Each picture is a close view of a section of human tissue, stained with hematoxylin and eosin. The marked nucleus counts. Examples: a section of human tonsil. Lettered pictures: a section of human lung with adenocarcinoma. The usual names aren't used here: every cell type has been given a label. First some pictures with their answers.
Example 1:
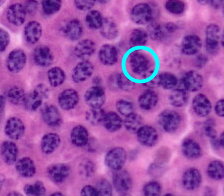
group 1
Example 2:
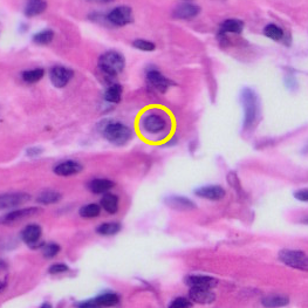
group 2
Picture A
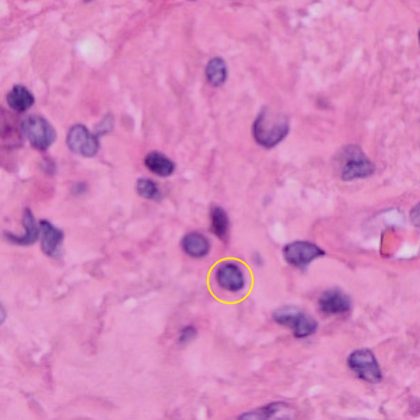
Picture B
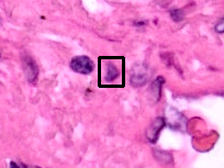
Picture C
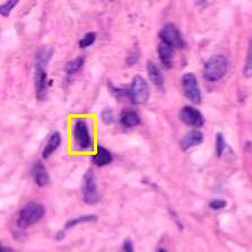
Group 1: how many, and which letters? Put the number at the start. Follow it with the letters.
1: C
